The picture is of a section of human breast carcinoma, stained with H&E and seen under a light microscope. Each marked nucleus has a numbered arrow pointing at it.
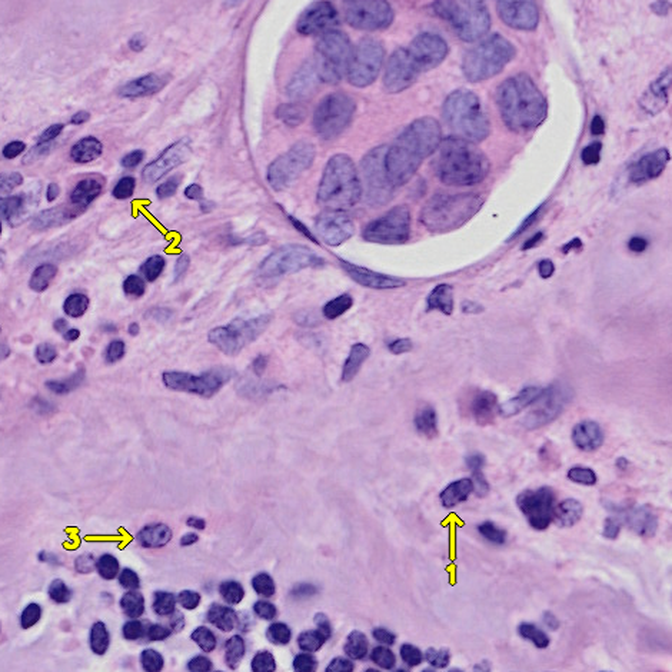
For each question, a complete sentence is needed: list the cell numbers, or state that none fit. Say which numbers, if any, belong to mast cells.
Only the cell numbered 3 is a mast cell, and the others are something else.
